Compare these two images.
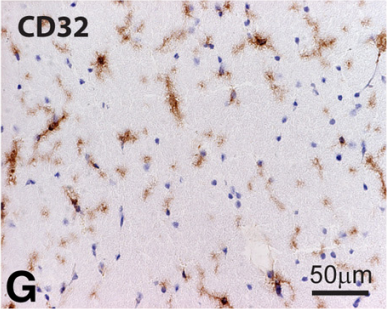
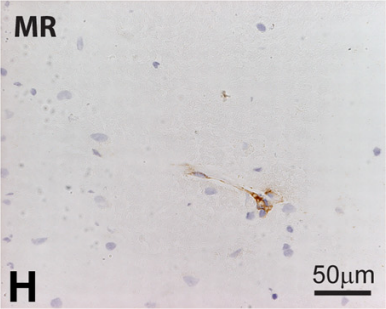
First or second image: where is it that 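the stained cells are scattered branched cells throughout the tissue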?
The first image.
